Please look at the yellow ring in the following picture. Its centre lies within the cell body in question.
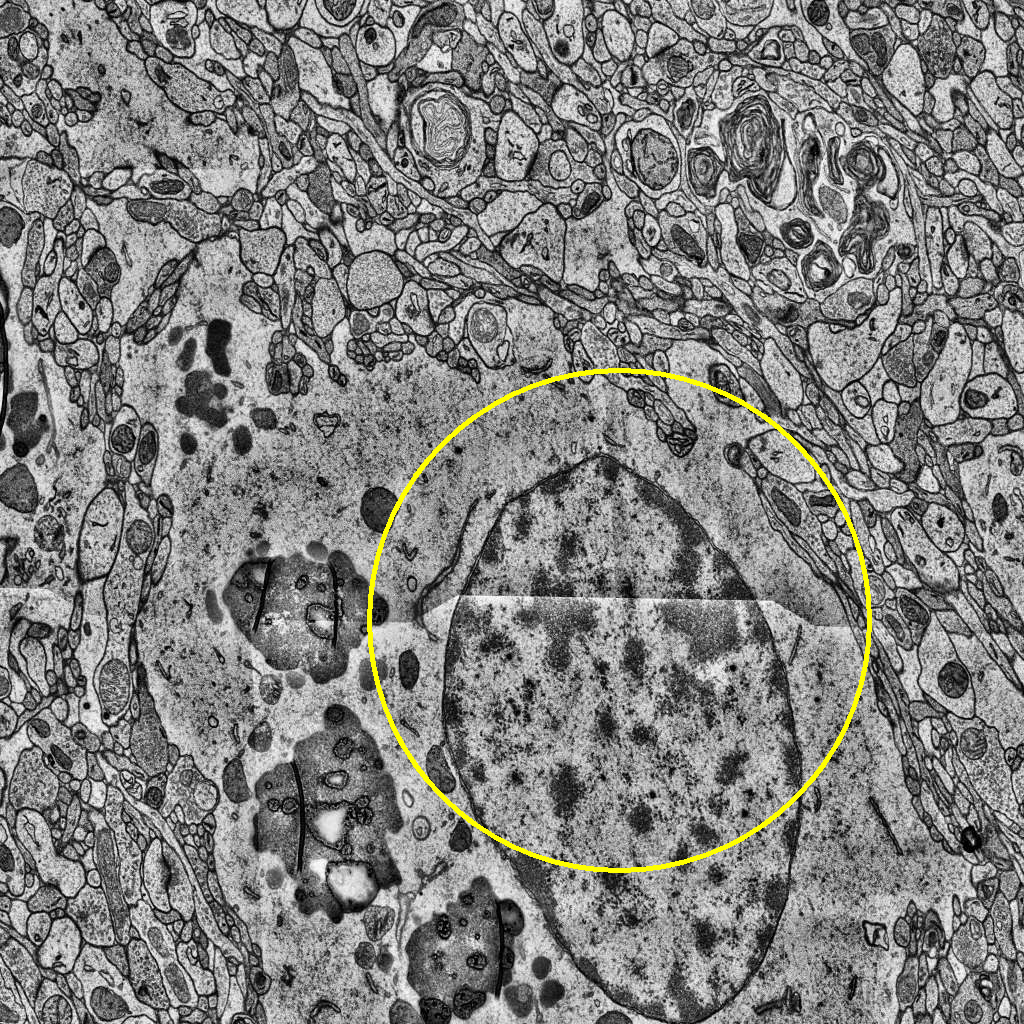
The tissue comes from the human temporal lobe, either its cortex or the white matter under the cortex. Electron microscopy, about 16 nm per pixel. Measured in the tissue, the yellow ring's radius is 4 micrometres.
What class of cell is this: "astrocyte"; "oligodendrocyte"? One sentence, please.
The centre of the ring lies in the cell body of an astrocyte.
